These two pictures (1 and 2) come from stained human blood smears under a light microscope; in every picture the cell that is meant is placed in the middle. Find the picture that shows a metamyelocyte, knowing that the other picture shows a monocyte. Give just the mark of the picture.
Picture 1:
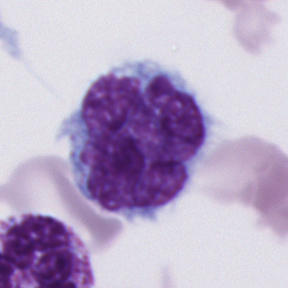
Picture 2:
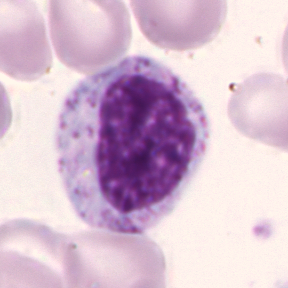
2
